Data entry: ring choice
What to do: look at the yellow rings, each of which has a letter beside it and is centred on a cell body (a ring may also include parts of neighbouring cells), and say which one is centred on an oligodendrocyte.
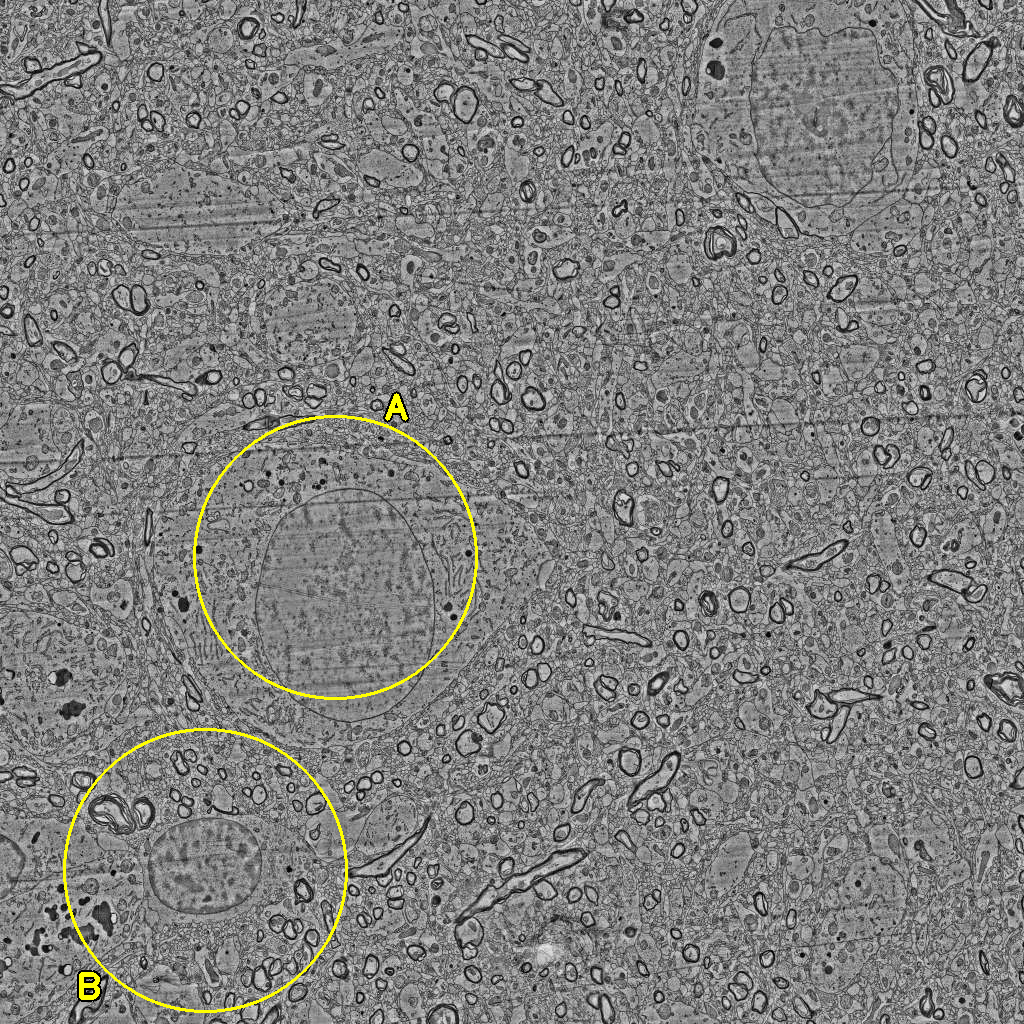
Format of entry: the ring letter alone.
B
